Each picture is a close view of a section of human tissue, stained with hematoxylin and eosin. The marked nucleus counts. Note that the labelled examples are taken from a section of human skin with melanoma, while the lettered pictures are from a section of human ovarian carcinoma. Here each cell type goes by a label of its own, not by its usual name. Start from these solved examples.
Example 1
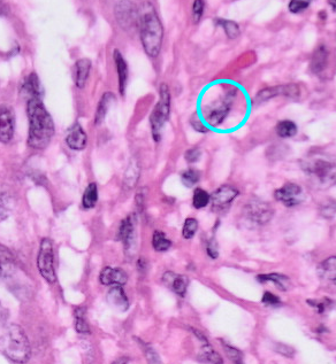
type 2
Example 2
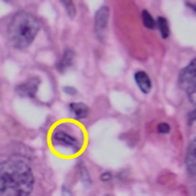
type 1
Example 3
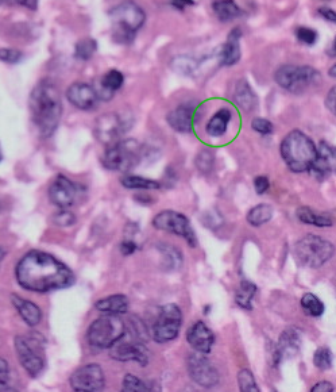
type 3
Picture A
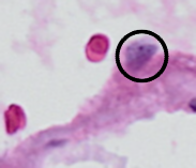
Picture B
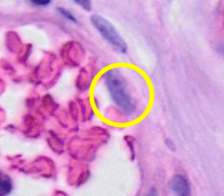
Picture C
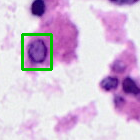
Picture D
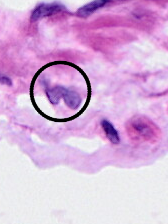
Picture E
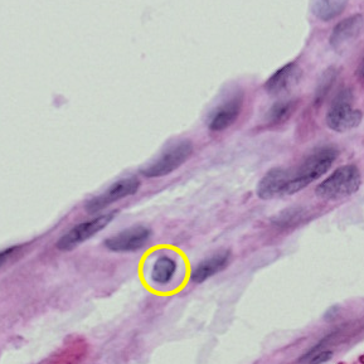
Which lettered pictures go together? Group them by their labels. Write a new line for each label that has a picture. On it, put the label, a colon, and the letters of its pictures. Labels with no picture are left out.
type 2: A, B
type 1: C, D
type 3: E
